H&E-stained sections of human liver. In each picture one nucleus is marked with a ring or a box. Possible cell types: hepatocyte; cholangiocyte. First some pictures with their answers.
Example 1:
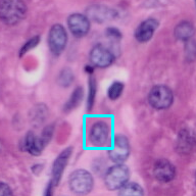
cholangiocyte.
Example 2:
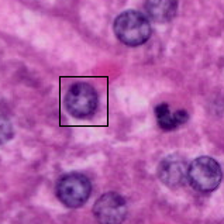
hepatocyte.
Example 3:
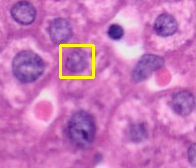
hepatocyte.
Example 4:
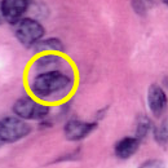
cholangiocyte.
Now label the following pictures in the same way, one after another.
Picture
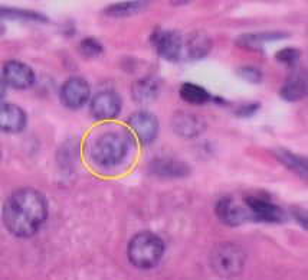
cholangiocyte.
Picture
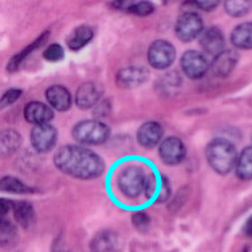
cholangiocyte.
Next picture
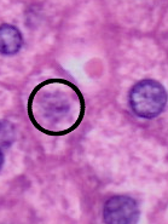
hepatocyte.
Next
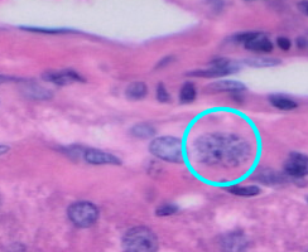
cholangiocyte.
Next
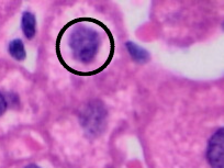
hepatocyte.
